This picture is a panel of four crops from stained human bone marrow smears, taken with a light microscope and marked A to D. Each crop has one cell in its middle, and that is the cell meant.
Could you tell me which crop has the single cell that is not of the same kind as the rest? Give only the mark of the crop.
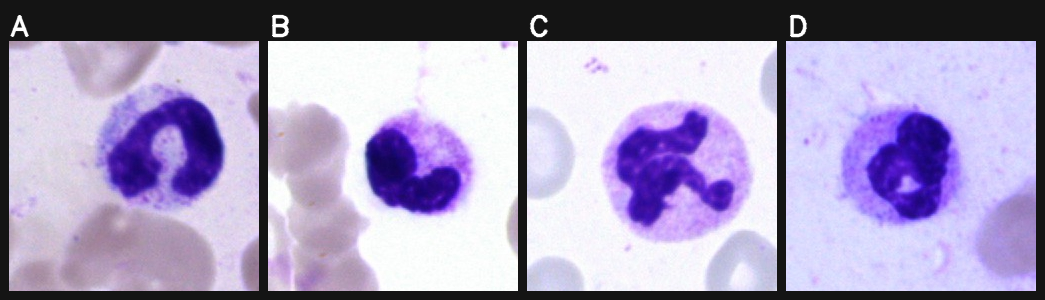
A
